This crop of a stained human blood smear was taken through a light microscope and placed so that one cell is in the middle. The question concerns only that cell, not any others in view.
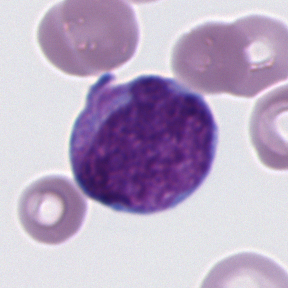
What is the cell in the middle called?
atypical promyelocyte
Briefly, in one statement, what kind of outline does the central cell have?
A ragged or projecting edge replaces the smooth outline in this cell.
